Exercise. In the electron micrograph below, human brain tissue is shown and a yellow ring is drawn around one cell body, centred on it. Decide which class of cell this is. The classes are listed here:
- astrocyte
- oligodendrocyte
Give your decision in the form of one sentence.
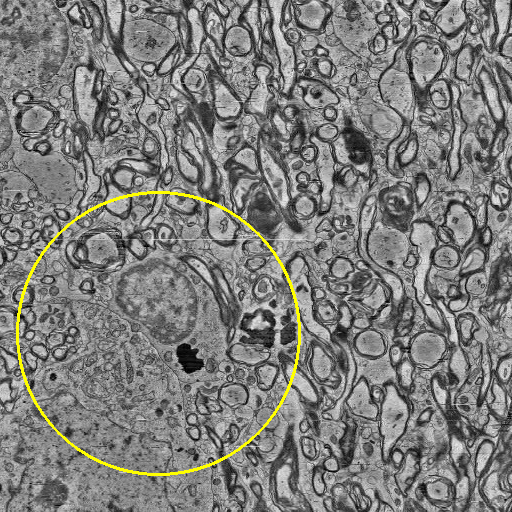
The cell body marked by the ring belongs to an oligodendrocyte.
